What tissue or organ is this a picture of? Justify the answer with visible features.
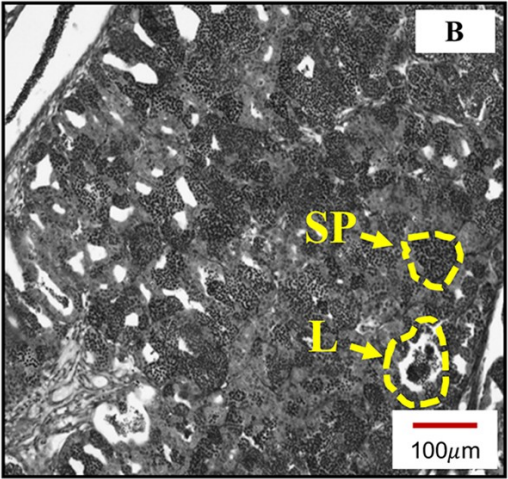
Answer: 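The tissue is made of dense clusters of tiny dark-staining cells. Small white lumina are scattered among the clusters. No large egg-like cells are present.
Hence: testis.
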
